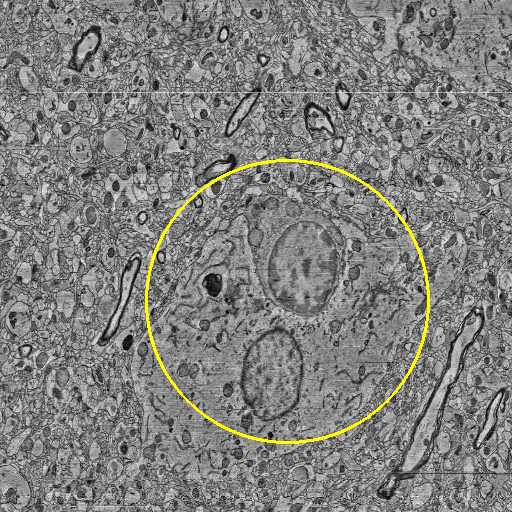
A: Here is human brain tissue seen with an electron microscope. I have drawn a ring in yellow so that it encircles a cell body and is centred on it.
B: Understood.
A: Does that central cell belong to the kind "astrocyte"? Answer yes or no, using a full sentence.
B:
No, the central cell inside your yellow ring belongs to another kind.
